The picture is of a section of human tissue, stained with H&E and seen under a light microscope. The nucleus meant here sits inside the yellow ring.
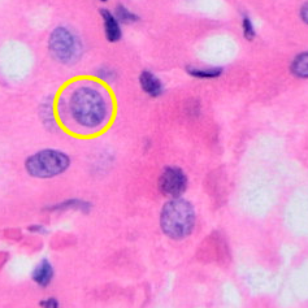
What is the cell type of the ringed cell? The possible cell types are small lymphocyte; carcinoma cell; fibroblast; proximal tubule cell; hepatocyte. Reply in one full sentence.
It is a proximal tubule cell that the ringed cell represents.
